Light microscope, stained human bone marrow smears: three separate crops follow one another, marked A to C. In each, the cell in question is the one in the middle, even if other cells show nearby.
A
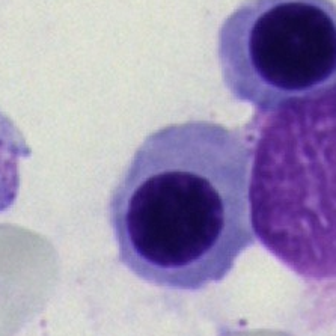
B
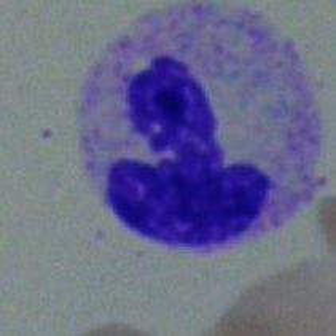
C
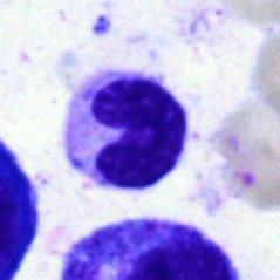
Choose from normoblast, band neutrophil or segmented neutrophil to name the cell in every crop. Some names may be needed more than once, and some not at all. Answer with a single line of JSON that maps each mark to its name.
{"A": "normoblast", "B": "segmented neutrophil", "C": "band neutrophil"}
